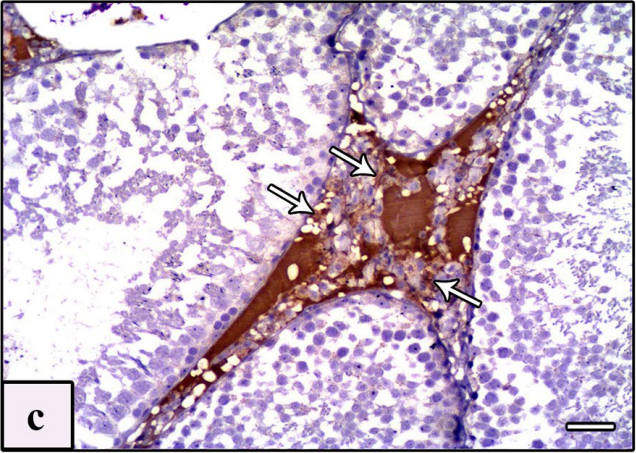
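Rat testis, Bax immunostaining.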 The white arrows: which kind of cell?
Interstitial cells of Leydig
